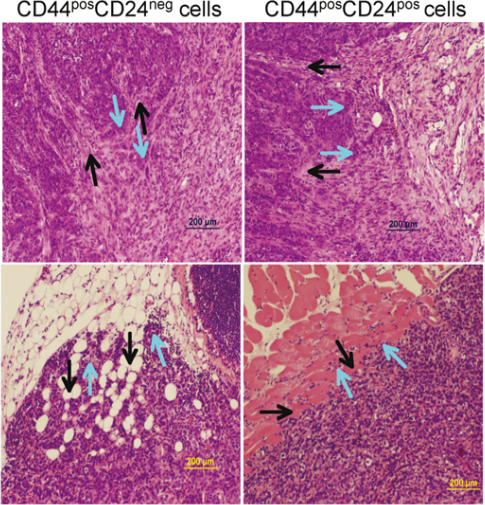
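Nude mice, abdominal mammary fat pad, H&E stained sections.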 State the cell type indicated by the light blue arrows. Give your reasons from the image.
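The light blue arrows point at crowded cells with dark purple nuclei. In the lower images these cells push in between fat cells and along pink fibres.
Answer: invading tumor cells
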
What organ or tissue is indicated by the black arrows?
Host tissue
